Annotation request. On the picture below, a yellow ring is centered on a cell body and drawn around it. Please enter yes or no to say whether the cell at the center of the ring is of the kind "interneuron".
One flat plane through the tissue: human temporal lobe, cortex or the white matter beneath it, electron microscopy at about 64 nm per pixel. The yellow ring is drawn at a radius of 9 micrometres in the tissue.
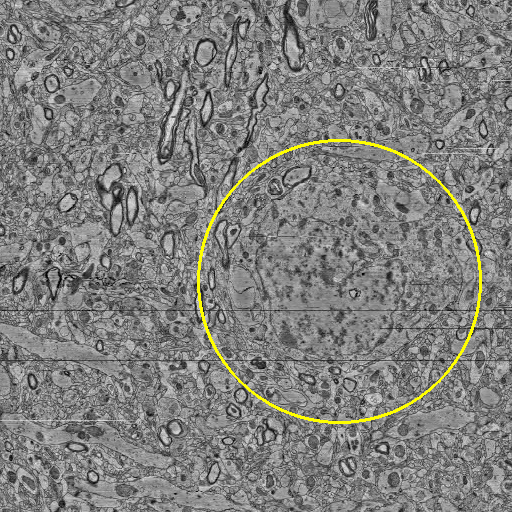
yes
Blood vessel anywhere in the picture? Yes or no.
No, none shows.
